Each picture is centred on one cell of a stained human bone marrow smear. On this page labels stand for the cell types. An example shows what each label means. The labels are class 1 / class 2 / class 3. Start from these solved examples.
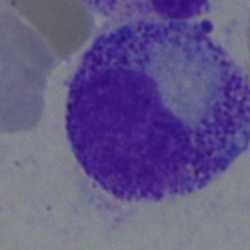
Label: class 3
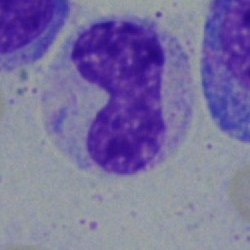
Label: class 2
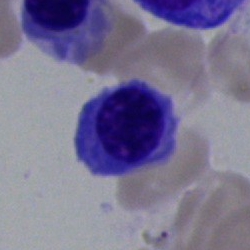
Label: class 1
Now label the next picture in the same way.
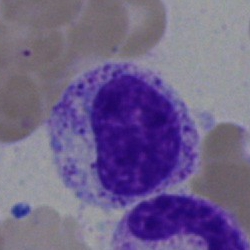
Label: class 3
